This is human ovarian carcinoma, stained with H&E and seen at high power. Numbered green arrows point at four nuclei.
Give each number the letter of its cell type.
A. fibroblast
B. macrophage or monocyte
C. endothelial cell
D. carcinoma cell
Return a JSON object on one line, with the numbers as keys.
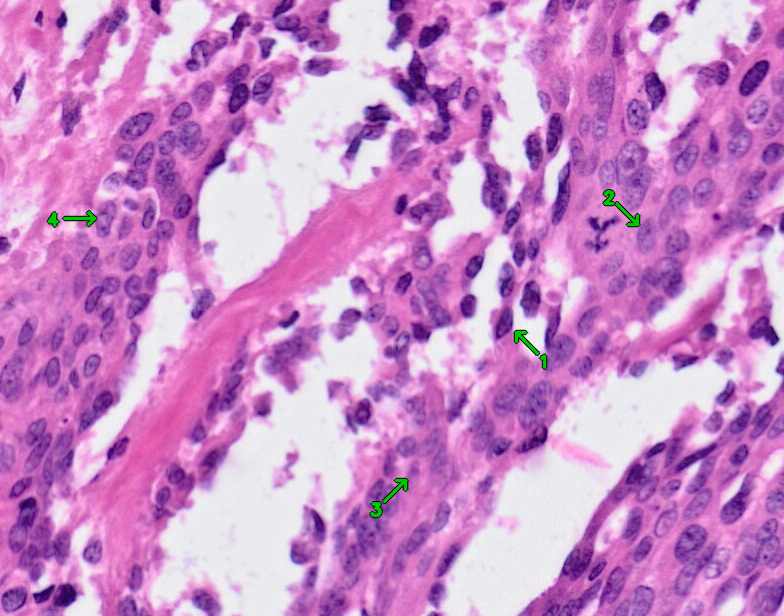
{"1": "D", "2": "D", "3": "D", "4": "B"}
